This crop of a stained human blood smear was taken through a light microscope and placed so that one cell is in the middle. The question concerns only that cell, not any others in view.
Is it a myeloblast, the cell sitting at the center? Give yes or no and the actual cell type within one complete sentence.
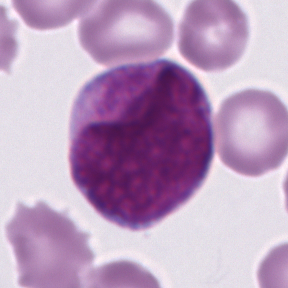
Yes, the cell shown in the middle is a myeloblast.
